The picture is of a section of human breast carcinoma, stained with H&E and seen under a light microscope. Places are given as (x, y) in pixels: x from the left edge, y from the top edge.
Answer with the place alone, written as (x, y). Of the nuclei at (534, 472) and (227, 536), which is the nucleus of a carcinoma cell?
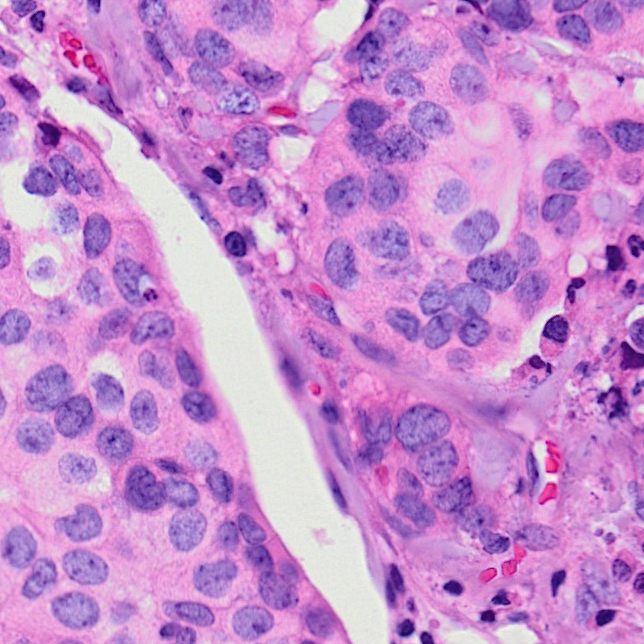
(227, 536)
